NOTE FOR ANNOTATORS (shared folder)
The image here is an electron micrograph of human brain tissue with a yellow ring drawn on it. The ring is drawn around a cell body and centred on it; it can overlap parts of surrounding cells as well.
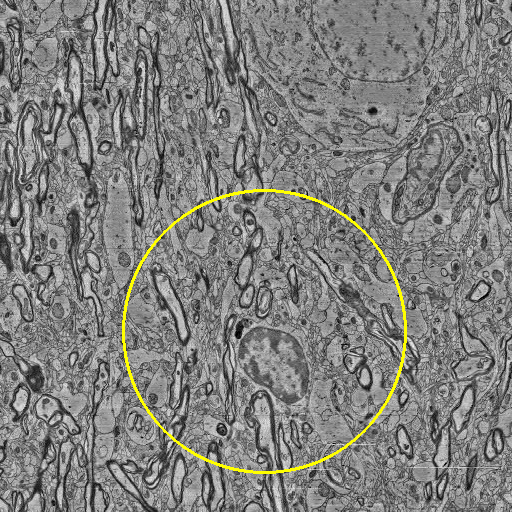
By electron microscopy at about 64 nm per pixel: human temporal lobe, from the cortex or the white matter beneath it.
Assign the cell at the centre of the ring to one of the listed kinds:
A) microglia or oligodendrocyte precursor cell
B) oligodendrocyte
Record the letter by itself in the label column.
A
